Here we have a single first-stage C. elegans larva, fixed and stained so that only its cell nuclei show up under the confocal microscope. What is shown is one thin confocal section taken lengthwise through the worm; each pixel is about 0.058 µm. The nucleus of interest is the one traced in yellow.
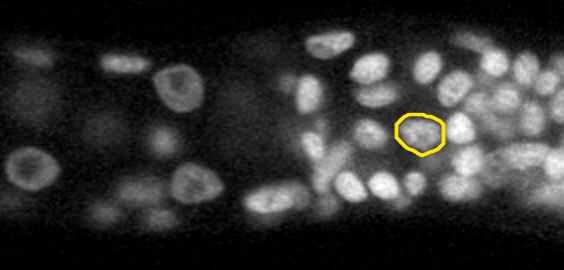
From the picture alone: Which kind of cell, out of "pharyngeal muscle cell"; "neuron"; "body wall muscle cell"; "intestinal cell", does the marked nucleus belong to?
pharyngeal muscle cell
